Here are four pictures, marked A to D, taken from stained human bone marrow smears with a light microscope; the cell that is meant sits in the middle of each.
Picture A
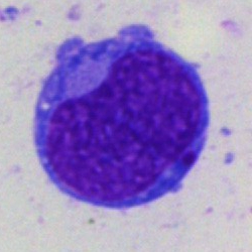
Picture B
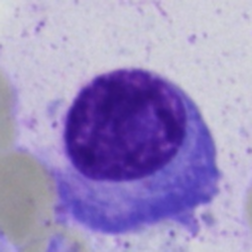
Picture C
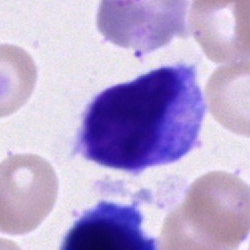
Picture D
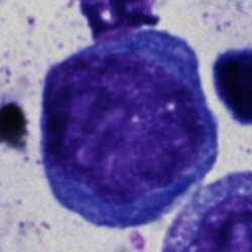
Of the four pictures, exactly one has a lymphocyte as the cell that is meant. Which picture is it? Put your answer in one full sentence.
The picture with the lymphocyte is C.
